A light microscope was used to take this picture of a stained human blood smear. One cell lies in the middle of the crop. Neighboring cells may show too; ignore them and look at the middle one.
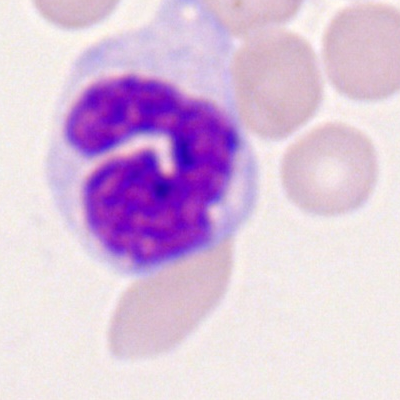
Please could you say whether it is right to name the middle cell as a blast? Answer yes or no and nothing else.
no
